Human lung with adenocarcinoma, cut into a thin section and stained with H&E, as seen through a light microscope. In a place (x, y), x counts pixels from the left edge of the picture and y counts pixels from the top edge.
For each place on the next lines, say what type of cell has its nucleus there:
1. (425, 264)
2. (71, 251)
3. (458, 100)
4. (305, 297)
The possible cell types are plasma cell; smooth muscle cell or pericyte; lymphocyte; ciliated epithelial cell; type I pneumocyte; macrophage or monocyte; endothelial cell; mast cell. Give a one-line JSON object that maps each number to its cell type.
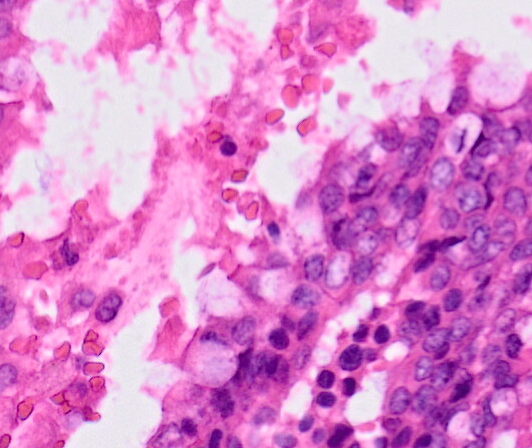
{"1": "ciliated epithelial cell", "2": "macrophage or monocyte", "3": "ciliated epithelial cell", "4": "ciliated epithelial cell"}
